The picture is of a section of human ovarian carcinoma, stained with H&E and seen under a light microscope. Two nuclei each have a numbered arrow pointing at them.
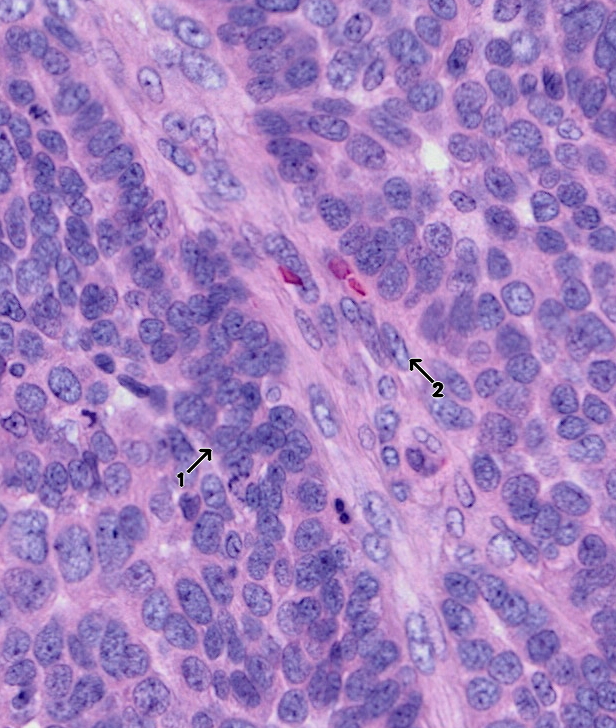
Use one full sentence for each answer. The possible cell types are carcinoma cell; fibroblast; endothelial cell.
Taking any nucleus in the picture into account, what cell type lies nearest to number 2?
The nearest nucleus to number 2 belongs to an endothelial cell.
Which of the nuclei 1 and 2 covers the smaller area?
Number 1 is smaller, since number 2 takes up about 1.5 times as much area.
